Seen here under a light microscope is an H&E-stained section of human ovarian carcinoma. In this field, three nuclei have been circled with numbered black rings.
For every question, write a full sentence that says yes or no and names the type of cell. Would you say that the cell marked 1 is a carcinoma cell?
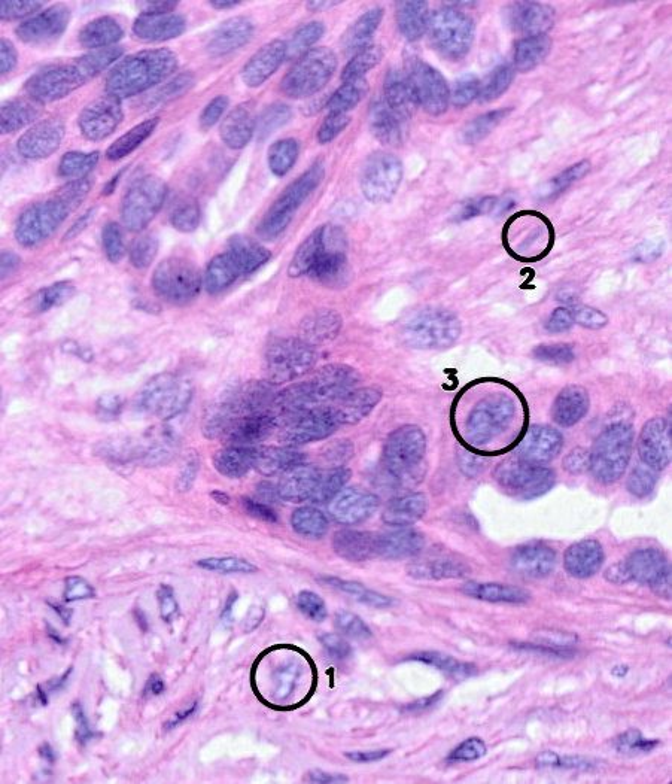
No, number 1 belongs to a fibroblast, not to a carcinoma cell.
